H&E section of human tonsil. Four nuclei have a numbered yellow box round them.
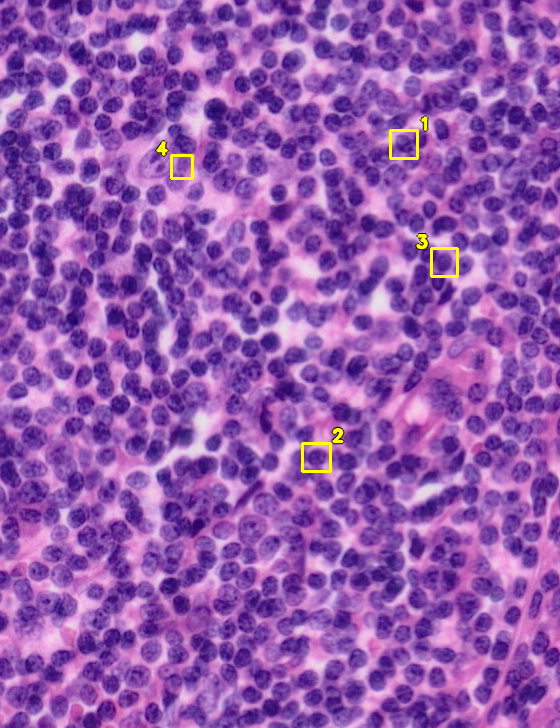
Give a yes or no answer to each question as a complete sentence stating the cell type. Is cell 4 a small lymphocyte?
No, calling cell 4 a small lymphocyte is a mistake; it is a proliferating B cell.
